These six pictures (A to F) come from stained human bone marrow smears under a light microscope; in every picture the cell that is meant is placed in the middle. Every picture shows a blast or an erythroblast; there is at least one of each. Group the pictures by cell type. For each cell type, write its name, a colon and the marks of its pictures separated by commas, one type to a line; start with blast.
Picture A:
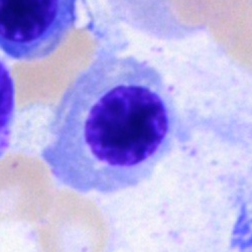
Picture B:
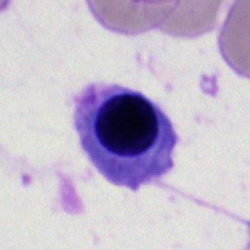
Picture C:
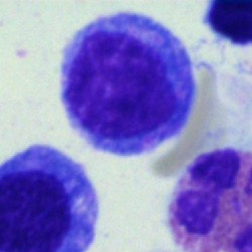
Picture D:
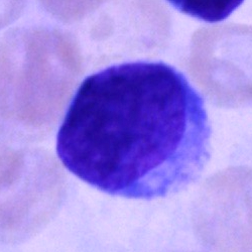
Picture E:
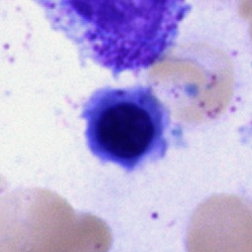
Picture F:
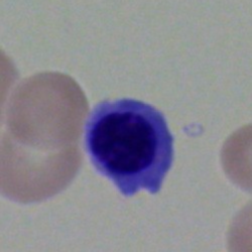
blast: C, D
erythroblast: A, B, E, F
